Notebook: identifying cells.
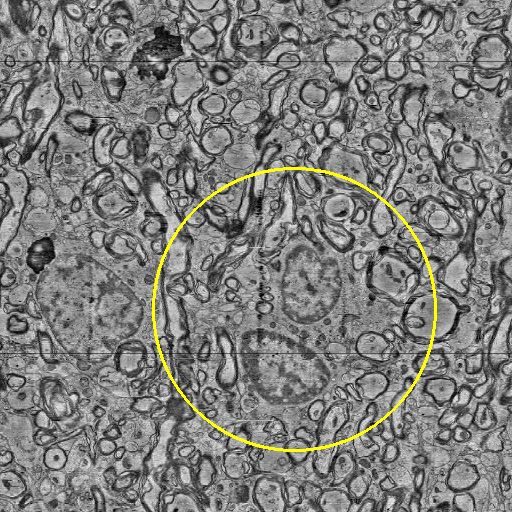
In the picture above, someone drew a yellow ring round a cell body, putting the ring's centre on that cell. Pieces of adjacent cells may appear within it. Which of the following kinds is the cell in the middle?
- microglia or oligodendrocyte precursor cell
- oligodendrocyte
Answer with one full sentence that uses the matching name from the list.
In this picture, the yellow ring is centred on the body of an oligodendrocyte.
